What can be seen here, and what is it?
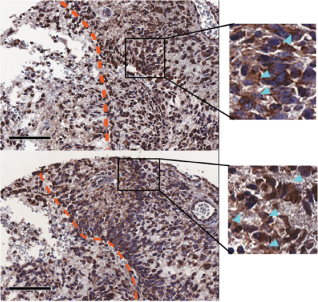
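Both images show a glioblastoma core. An orange dashed line separates two regions. On one side is dead tissue, which looks loose and sparse, with scattered fragments. On the other side the tumour cells are tightly packed against this edge, many with irregular nuclei. The enlarged insets show brown granules dotted through the cytoplasm of these cells. In the cytoplasm beside the nuclei, the granules are marked by small blue arrowheads.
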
